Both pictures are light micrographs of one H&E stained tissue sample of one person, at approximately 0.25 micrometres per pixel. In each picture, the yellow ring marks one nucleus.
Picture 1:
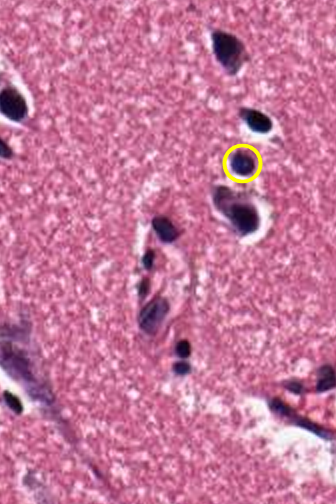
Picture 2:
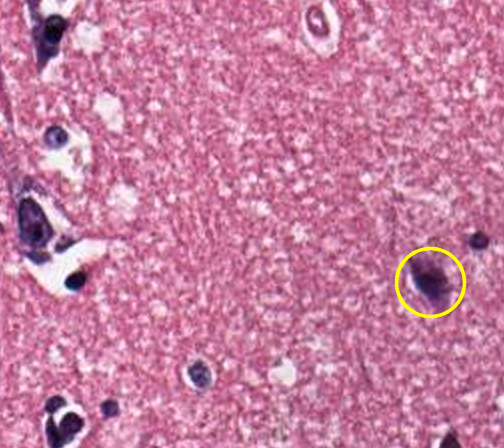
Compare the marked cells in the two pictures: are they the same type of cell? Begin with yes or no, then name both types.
No, the first is an oligodendrocyte and the second a neuron.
